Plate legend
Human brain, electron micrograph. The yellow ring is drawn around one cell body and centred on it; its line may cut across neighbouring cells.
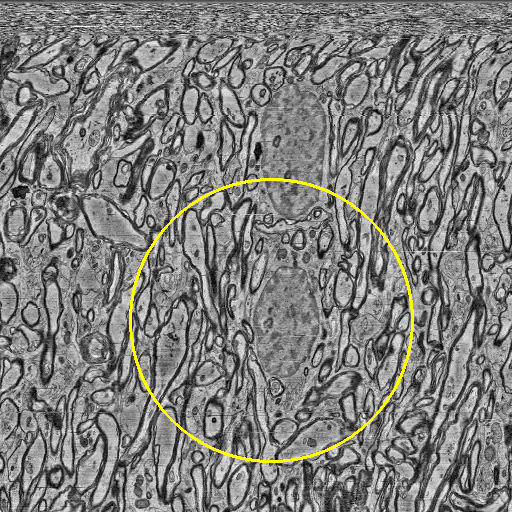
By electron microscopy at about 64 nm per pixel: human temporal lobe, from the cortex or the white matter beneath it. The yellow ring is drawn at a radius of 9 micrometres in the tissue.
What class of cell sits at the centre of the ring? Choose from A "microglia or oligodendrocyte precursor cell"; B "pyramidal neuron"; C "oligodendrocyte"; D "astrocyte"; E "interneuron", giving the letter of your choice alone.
C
